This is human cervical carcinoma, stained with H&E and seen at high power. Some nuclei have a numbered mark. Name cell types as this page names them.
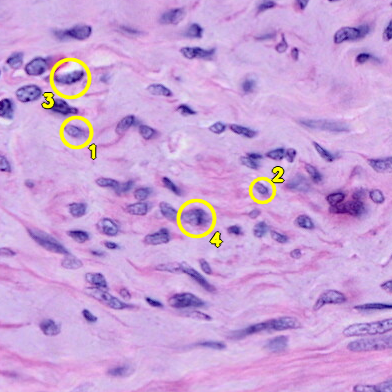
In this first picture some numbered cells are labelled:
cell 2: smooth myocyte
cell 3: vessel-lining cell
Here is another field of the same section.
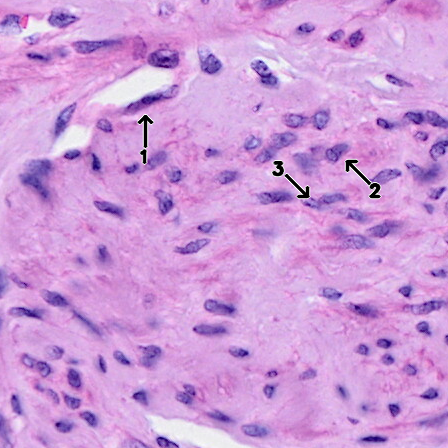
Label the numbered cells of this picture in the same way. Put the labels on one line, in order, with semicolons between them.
vessel-lining cell; smooth myocyte; smooth myocyte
